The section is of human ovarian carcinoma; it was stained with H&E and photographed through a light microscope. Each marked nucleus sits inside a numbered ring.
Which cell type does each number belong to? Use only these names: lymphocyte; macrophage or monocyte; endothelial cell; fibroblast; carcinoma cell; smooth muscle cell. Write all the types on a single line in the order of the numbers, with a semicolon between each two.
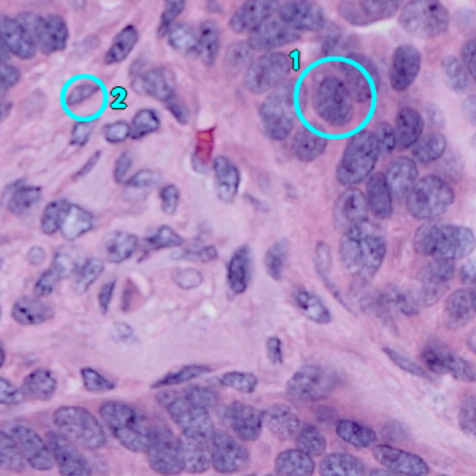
carcinoma cell; fibroblast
